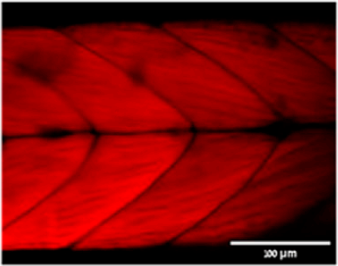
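Trunk skeletal muscle seen in long view, arranged in chevron-shaped segments separated by thin dark boundaries, with a dark horizontal line dividing upper and lower halves. Within each segment the fibers run straight, parallel and evenly packed, with fairly uniform red staining.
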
